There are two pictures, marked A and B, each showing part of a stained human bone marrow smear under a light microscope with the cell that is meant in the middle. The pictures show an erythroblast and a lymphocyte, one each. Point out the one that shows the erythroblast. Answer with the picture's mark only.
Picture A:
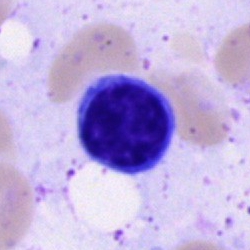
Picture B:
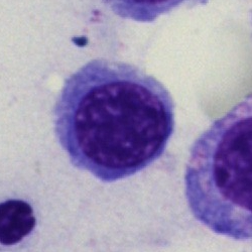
B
